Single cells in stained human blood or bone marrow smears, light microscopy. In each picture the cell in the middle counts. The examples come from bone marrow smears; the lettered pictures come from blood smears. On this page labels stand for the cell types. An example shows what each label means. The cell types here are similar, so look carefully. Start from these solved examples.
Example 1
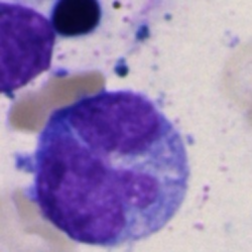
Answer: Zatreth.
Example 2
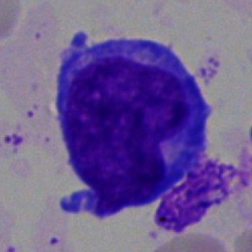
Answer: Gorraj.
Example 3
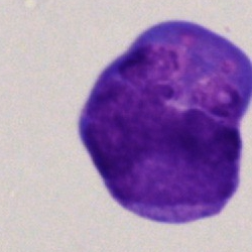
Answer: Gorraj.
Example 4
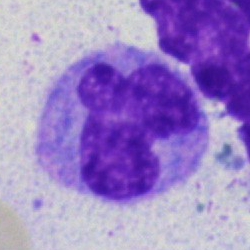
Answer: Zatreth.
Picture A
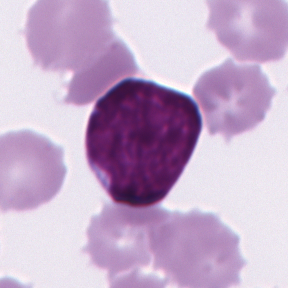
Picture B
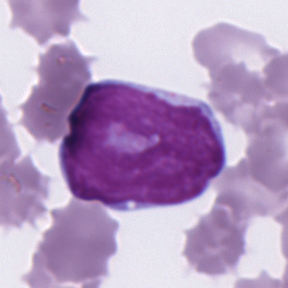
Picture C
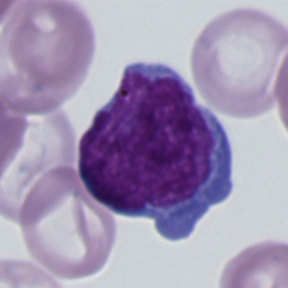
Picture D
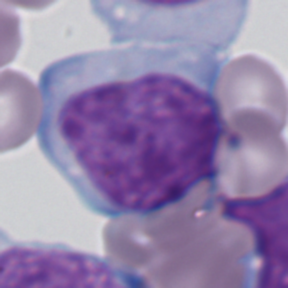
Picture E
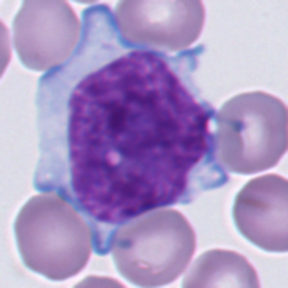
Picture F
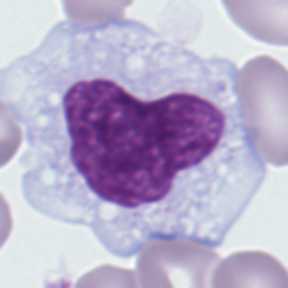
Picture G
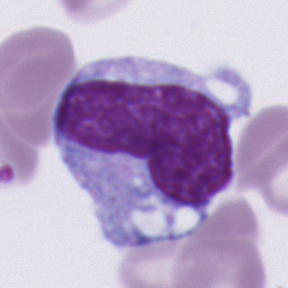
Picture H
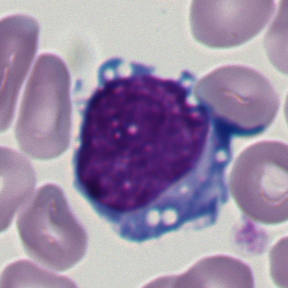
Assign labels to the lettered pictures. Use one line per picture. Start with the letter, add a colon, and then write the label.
A: Gorraj.
B: Gorraj.
C: Gorraj.
D: Gorraj.
E: Gorraj.
F: Zatreth.
G: Zatreth.
H: Gorraj.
